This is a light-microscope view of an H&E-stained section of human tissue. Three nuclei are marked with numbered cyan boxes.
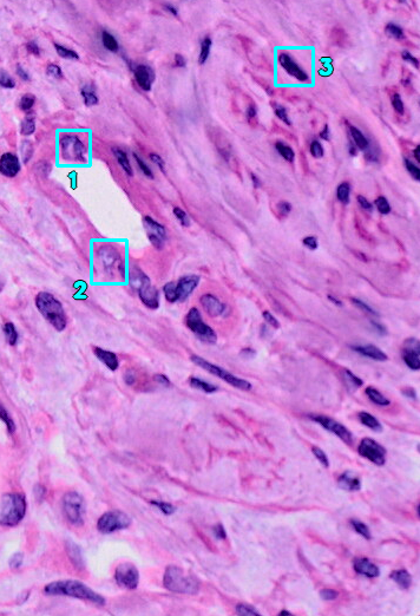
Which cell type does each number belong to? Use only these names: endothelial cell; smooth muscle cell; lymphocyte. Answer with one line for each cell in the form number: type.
1: endothelial cell
2: endothelial cell
3: lymphocyte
